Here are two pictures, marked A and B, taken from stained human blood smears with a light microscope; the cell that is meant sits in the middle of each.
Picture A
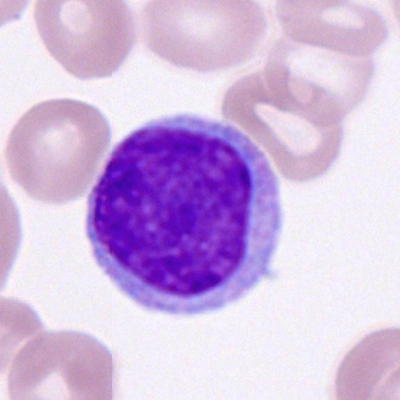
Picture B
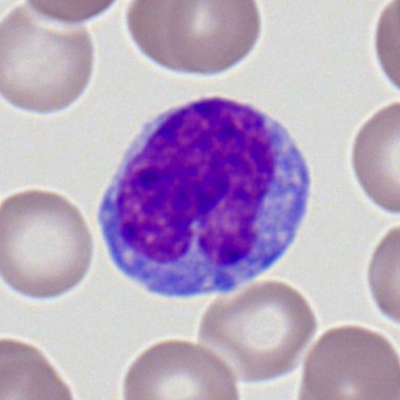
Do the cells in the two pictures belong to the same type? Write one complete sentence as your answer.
No; the cell in picture A is a lymphocyte, while the one in picture B is a monocyte.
